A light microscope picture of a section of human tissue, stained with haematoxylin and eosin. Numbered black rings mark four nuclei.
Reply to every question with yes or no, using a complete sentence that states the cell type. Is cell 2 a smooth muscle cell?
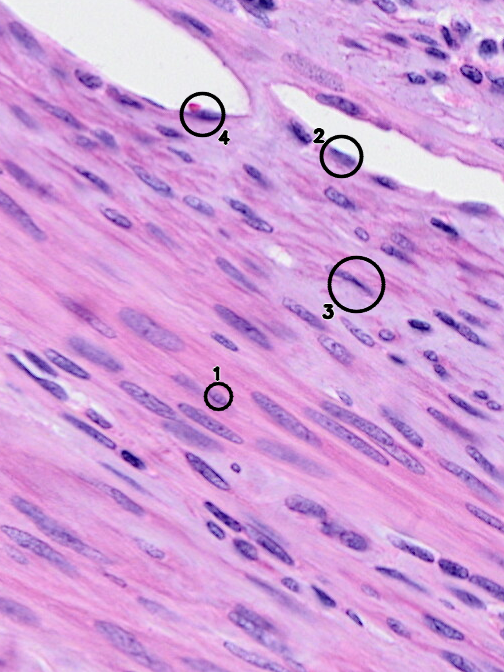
No, in terms of cell type, cell 2 is an endothelial cell, not a smooth muscle cell.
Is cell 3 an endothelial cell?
No, the marker 3 sits on a smooth muscle cell, not on an endothelial cell.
